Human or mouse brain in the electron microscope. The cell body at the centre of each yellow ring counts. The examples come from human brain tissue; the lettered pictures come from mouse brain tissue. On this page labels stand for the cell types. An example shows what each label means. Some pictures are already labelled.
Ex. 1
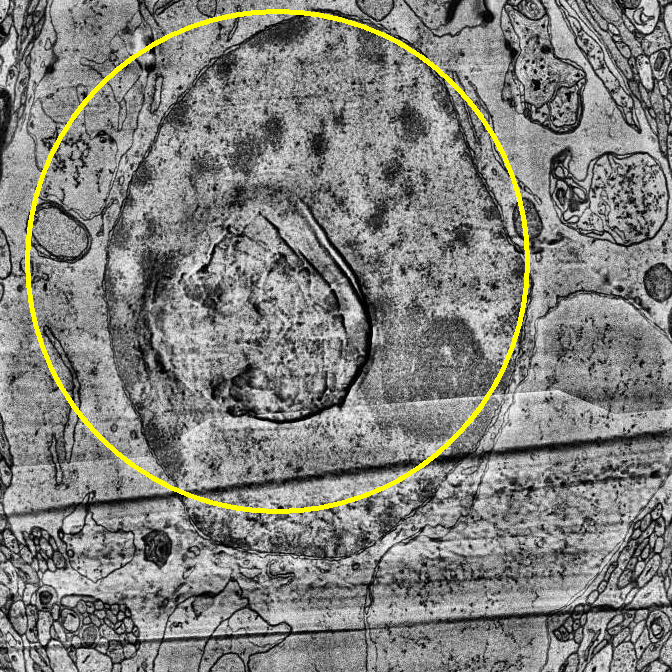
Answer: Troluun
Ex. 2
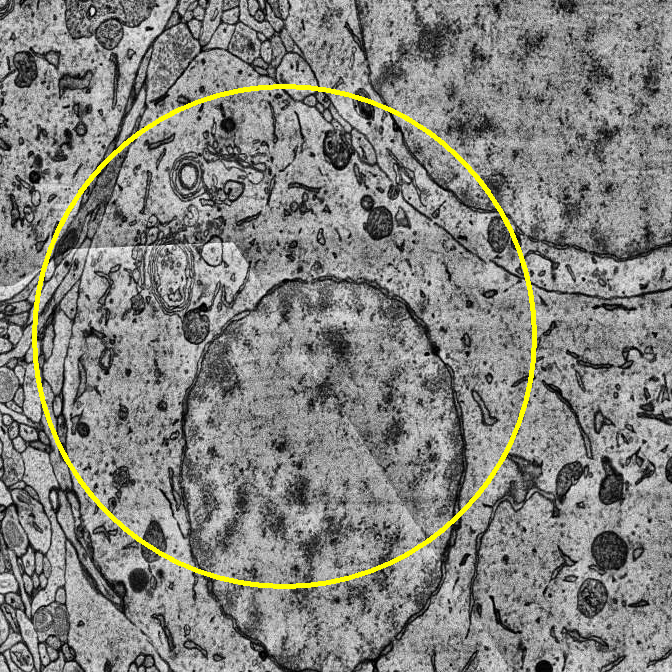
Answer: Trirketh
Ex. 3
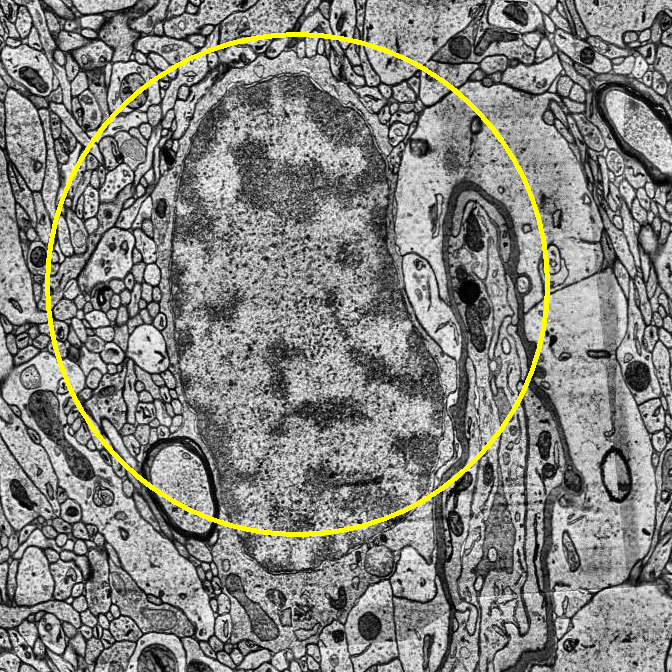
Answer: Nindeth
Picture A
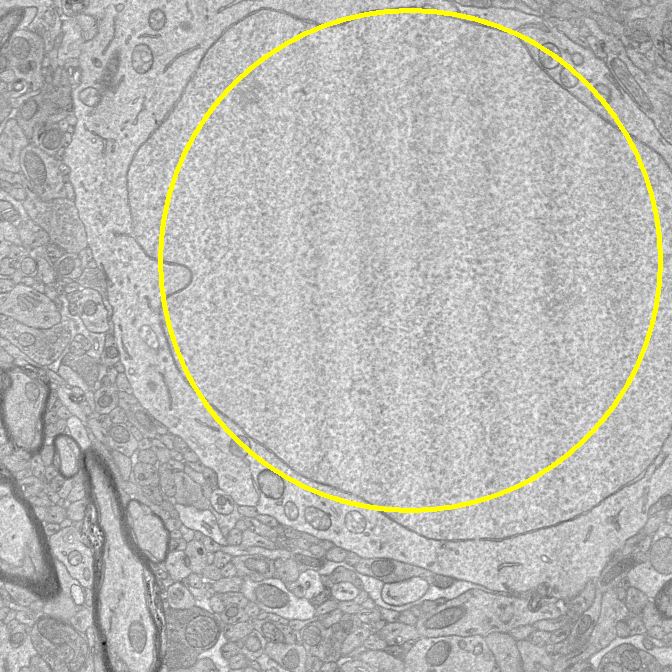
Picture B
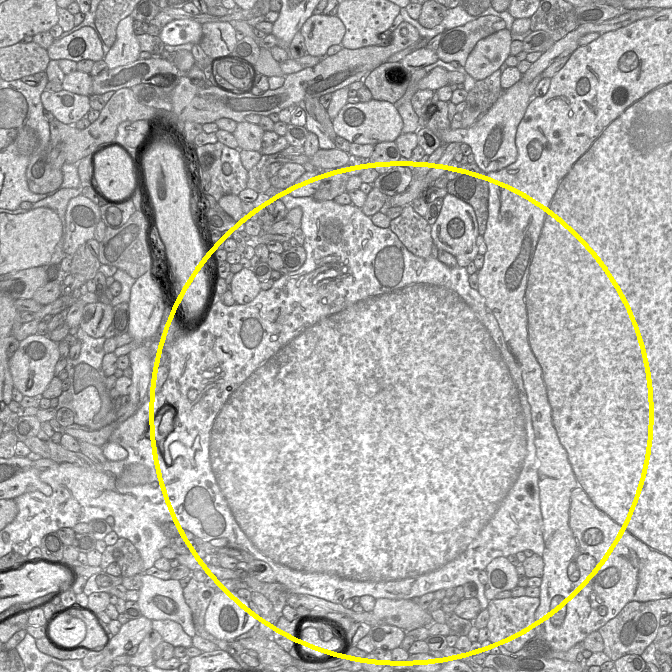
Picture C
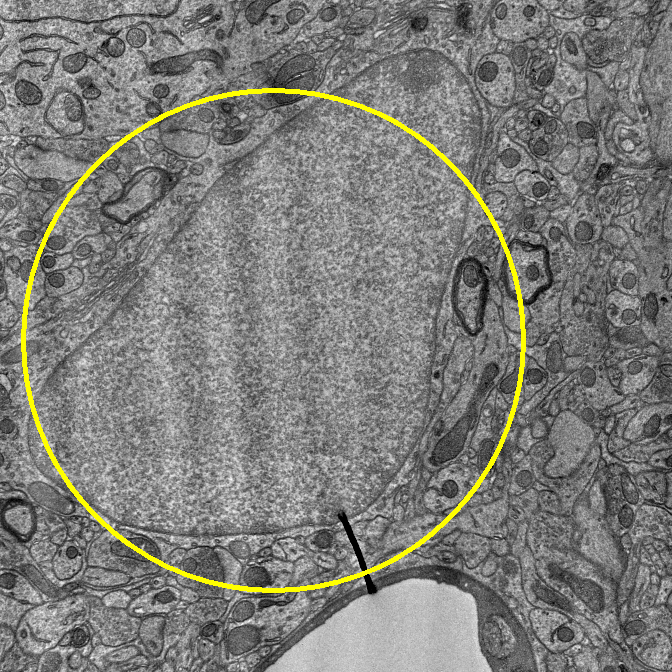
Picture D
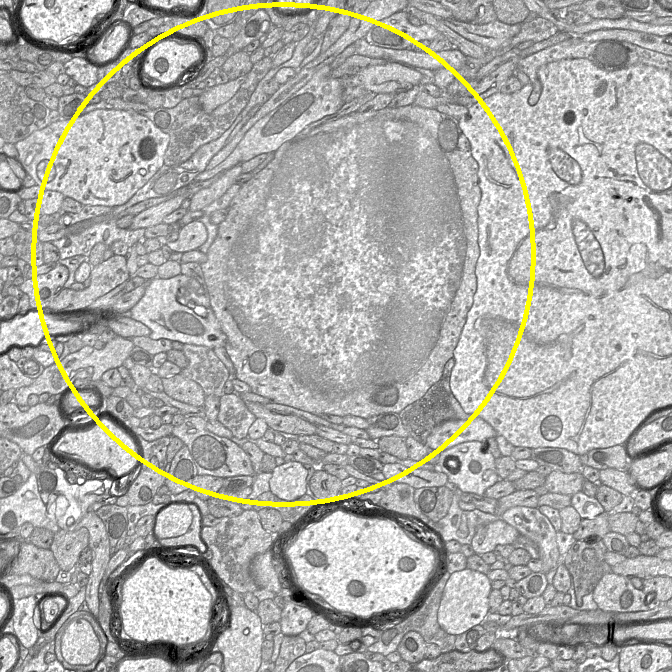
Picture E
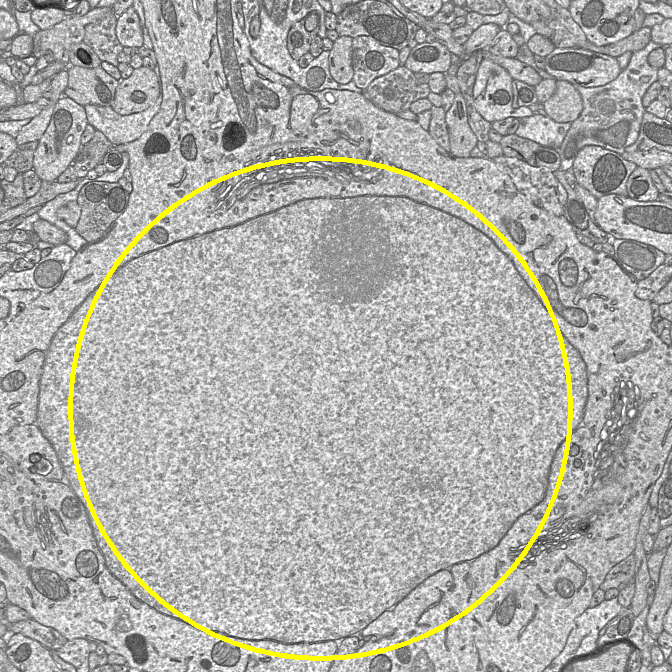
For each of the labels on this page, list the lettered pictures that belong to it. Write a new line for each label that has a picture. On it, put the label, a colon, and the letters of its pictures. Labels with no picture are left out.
Troluun: B, C
Trirketh: A, E
Nindeth: D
